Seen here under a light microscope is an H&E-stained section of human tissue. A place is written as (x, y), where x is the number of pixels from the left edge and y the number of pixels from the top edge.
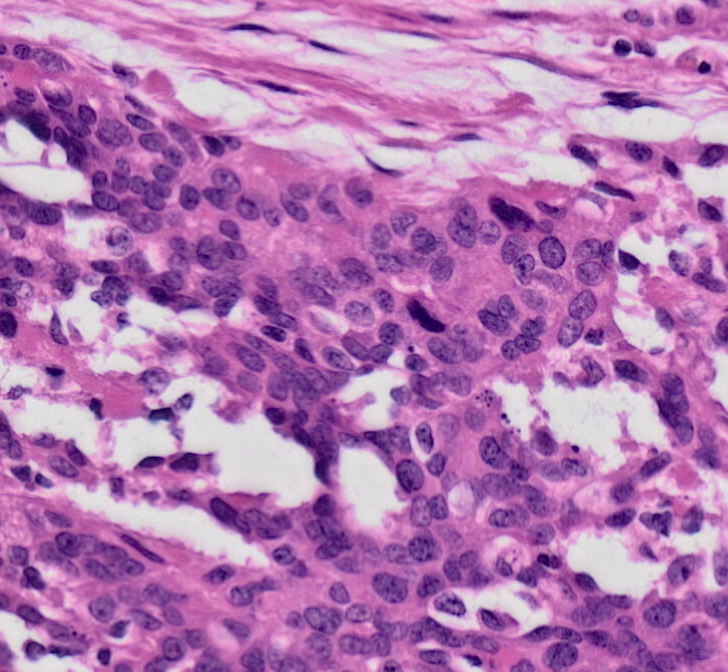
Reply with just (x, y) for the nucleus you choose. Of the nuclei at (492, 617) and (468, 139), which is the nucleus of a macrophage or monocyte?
(492, 617)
